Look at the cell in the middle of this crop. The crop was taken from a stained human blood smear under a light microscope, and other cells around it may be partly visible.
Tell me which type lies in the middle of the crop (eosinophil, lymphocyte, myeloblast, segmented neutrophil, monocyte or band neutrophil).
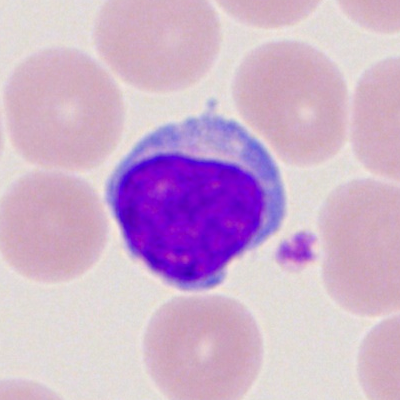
lymphocyte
